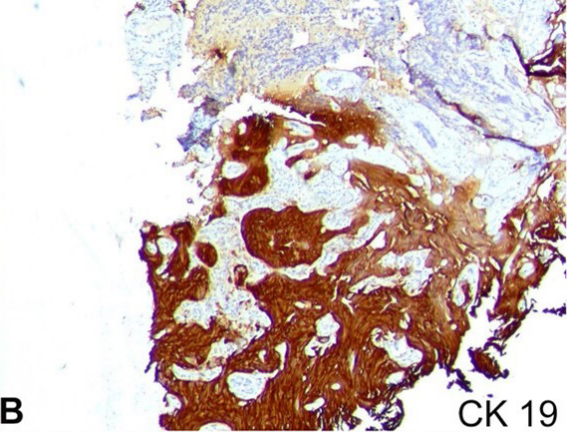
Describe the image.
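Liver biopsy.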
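Irregular nests and cords of tumor cells show strong, diffuse brown staining of their cytoplasm. The brown-stained epithelial groups are separated by pale, unstained fibrous stroma, and a pale unstained area of tissue lies at the upper part of the field.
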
